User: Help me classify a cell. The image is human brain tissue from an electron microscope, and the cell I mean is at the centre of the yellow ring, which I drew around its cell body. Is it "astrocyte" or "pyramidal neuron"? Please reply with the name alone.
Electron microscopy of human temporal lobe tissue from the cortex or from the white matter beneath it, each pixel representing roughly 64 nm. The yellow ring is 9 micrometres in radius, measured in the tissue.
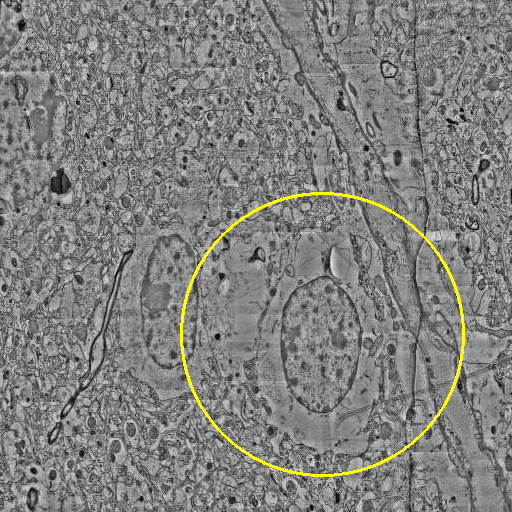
astrocyte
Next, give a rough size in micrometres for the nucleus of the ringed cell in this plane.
At approximately 9 by 5 micrometres, the nucleus is clearly longer than it is wide in this plane.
